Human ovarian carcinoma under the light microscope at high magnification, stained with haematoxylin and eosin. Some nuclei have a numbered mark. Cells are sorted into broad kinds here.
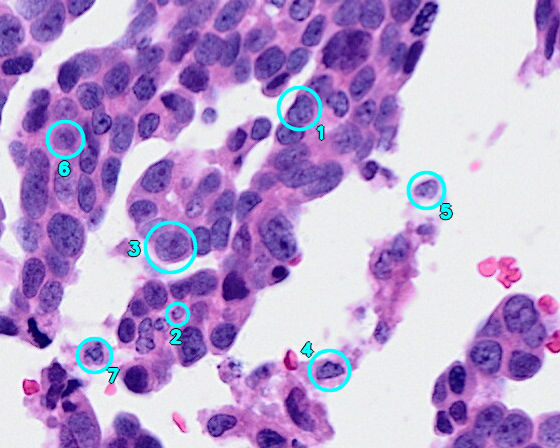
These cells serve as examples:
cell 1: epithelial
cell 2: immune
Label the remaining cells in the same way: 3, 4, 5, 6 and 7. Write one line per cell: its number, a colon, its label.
3: epithelial
4: immune
5: immune
6: epithelial
7: immune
